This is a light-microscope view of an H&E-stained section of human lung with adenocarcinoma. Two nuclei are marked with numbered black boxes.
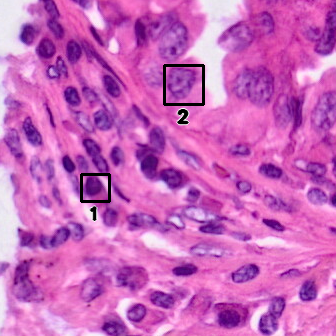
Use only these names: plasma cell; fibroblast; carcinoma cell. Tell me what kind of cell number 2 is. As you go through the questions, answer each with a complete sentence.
The cell that is numbered 2 is a carcinoma cell.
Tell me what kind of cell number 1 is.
The marked cell bearing number 1 is a plasma cell.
